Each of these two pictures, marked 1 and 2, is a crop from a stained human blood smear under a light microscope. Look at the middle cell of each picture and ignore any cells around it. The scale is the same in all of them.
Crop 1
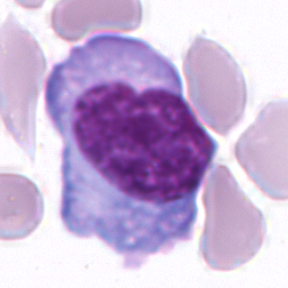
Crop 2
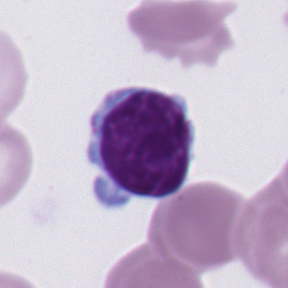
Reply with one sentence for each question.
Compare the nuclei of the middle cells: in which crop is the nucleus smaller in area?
Smaller is the nucleus in crop 2, and the other is about 1.5 times as large in area.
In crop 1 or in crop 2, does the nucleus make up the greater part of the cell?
In crop 2 the nucleus takes up the larger part of its cell.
